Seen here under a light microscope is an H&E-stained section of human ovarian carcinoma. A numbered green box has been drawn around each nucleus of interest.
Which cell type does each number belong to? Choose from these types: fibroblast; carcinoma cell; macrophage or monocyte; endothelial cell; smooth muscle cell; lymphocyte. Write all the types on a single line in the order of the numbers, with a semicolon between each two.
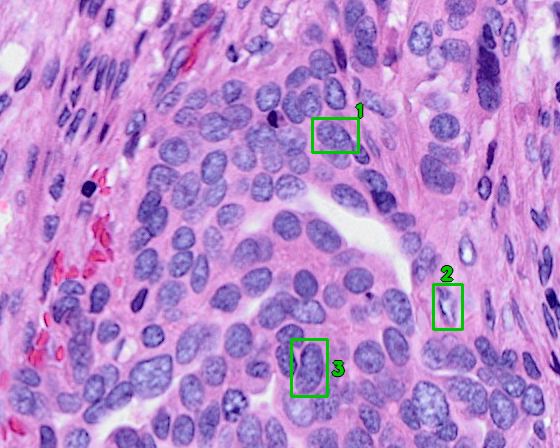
carcinoma cell; fibroblast; carcinoma cell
